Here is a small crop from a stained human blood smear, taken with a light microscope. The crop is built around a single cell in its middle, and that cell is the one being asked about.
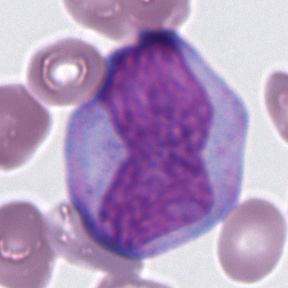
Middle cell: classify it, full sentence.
Standing at the centre of this crop is an atypical promyelocyte.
